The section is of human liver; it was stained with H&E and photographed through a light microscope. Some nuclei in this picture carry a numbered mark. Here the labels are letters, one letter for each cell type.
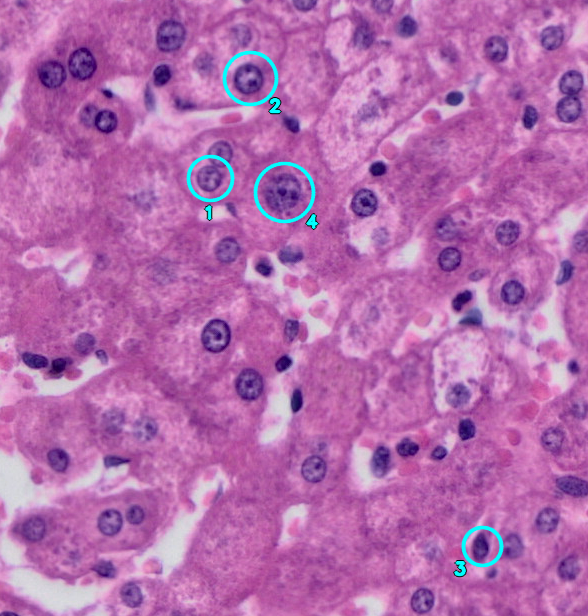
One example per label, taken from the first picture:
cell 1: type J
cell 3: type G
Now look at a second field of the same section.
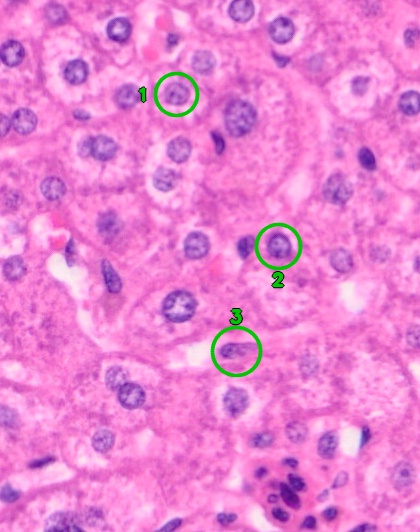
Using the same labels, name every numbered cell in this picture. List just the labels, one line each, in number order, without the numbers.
type J
type J
type G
